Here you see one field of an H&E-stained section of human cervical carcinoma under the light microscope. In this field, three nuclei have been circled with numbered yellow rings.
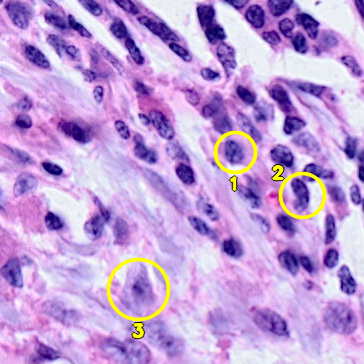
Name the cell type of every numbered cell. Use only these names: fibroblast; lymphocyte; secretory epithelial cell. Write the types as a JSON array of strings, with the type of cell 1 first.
["lymphocyte", "lymphocyte", "fibroblast"]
